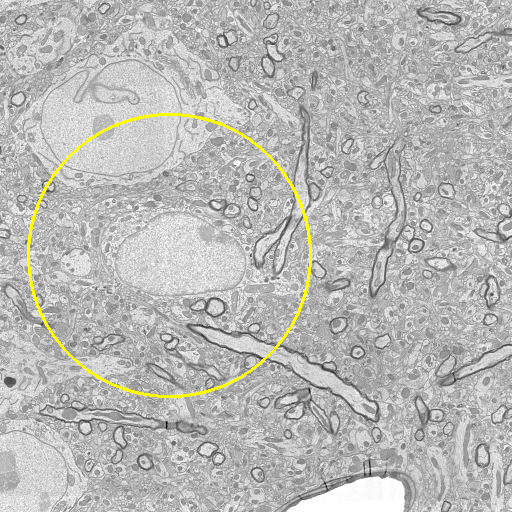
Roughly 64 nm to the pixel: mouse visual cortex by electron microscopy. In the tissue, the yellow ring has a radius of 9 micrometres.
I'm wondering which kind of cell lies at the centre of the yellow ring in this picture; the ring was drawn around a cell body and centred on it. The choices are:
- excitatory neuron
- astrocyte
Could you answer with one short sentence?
At the centre of the ring lies an astrocyte.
